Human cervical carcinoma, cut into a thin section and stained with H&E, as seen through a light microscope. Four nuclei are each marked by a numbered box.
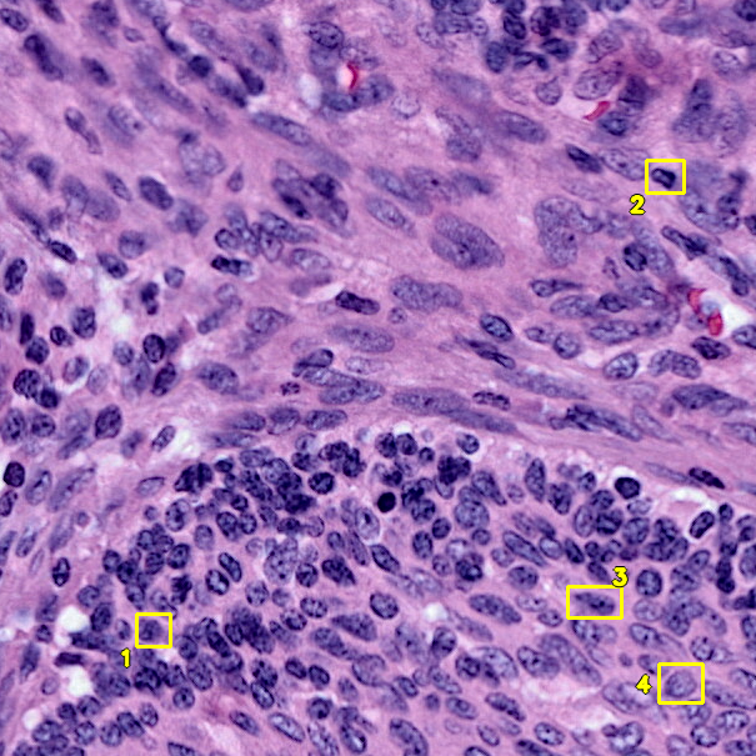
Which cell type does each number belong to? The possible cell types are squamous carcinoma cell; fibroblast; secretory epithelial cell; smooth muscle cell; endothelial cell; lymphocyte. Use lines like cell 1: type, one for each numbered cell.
cell 1: squamous carcinoma cell
cell 2: lymphocyte
cell 3: squamous carcinoma cell
cell 4: squamous carcinoma cell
